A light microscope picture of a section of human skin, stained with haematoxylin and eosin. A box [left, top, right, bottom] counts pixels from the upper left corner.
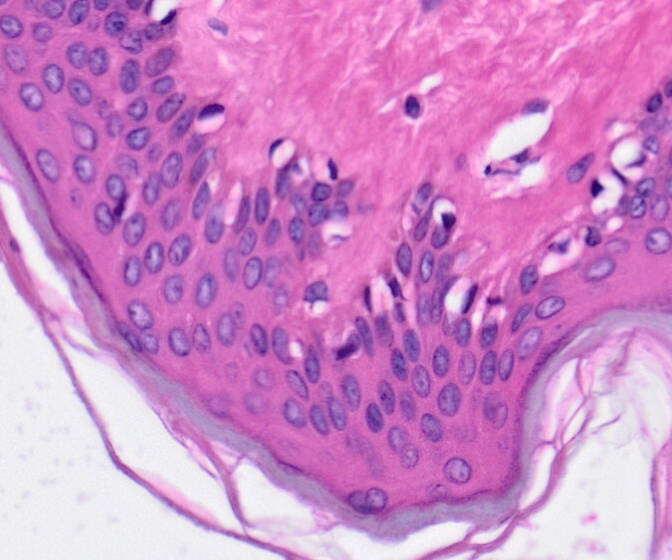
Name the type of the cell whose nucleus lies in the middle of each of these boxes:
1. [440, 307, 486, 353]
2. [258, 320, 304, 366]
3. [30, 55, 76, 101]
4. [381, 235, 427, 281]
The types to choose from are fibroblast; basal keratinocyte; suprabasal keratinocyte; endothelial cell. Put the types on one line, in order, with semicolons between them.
basal keratinocyte; basal keratinocyte; suprabasal keratinocyte; basal keratinocyte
